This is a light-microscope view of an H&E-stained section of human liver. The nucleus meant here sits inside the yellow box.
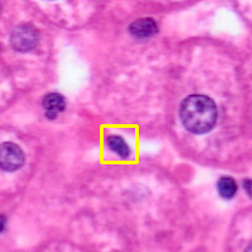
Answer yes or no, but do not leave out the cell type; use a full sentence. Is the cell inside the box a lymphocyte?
Yes, the cell inside the box is recognized as a lymphocyte in this section.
